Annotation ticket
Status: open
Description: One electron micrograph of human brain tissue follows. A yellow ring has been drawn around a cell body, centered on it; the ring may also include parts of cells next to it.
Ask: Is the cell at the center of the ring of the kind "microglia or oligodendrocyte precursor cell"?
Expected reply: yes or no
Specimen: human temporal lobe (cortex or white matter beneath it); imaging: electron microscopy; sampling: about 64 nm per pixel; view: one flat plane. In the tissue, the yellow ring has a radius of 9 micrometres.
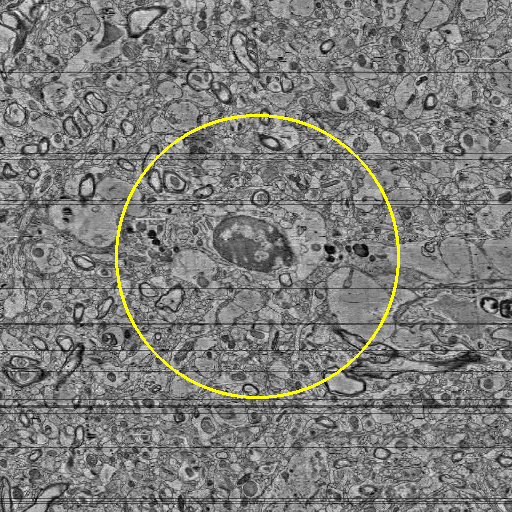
yes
